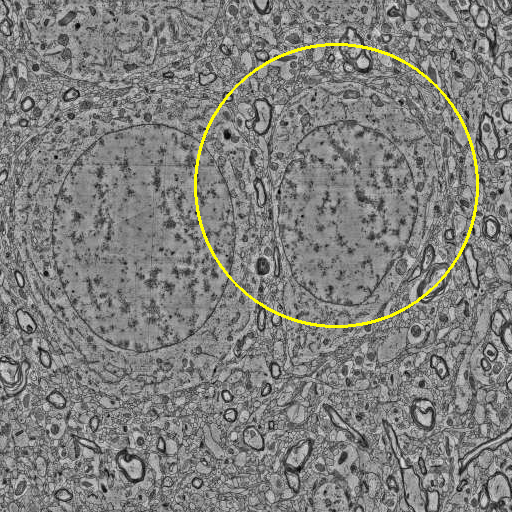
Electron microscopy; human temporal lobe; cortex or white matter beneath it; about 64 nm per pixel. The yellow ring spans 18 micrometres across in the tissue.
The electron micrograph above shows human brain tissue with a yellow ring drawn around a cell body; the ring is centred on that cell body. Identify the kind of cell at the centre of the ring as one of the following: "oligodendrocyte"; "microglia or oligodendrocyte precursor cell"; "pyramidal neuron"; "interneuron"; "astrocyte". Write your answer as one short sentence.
The cell at the centre of the ring is a pyramidal neuron.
